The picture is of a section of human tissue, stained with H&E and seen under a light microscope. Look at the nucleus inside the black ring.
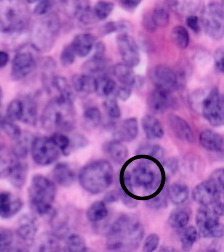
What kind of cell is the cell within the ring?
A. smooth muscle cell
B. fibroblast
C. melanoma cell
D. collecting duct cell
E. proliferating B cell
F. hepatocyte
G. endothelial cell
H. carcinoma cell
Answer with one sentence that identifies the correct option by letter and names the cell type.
Exactly as option E gives it, the cell within the ring is a proliferating B cell.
